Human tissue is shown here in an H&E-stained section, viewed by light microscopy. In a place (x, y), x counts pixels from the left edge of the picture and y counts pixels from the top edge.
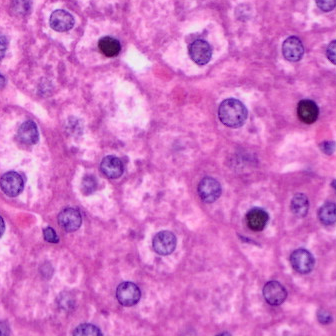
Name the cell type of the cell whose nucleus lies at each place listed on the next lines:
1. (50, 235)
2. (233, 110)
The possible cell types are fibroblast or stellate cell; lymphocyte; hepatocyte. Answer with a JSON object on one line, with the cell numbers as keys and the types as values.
{"1": "fibroblast or stellate cell", "2": "hepatocyte"}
